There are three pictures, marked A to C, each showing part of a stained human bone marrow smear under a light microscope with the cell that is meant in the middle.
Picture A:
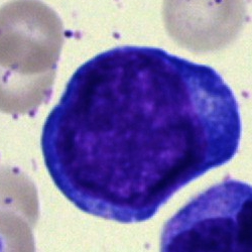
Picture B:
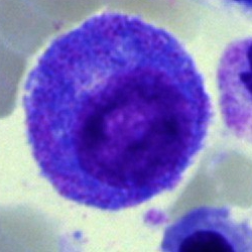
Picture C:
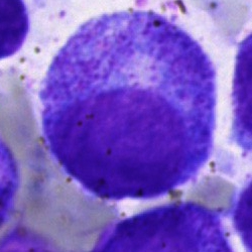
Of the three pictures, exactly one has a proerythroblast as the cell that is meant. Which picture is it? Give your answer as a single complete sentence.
Picture A shows the proerythroblast.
